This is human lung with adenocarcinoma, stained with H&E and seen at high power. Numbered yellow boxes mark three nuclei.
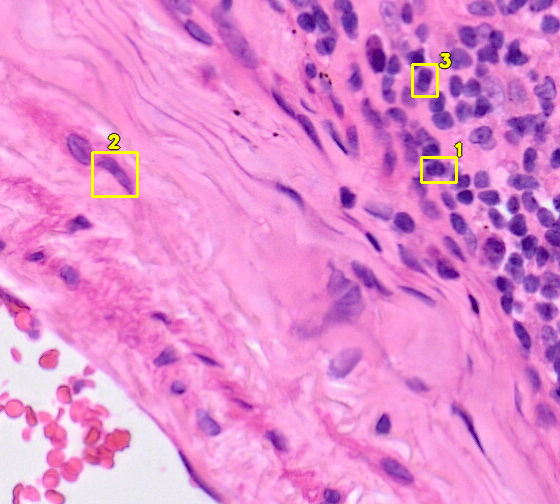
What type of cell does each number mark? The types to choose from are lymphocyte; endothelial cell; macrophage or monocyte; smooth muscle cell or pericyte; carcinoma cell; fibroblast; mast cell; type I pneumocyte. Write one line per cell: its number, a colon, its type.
1: lymphocyte
2: smooth muscle cell or pericyte
3: lymphocyte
